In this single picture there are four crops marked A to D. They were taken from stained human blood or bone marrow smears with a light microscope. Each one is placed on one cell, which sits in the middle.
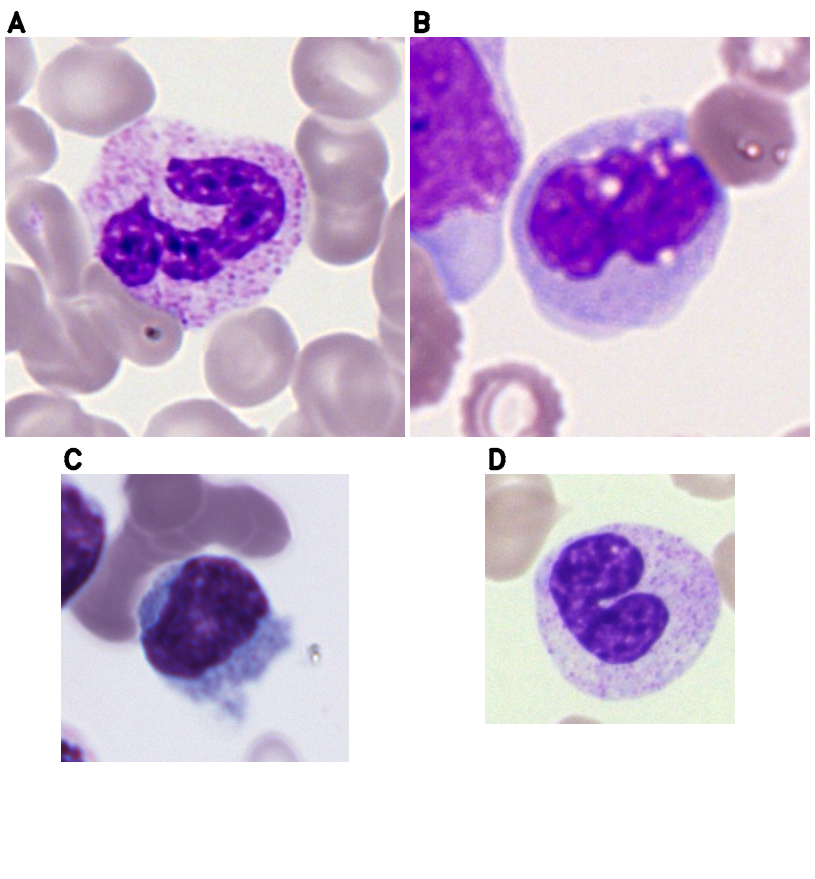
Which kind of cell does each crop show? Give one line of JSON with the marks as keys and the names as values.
{"A": "band neutrophil", "B": "monocyte", "C": "monocyte", "D": "band neutrophil"}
